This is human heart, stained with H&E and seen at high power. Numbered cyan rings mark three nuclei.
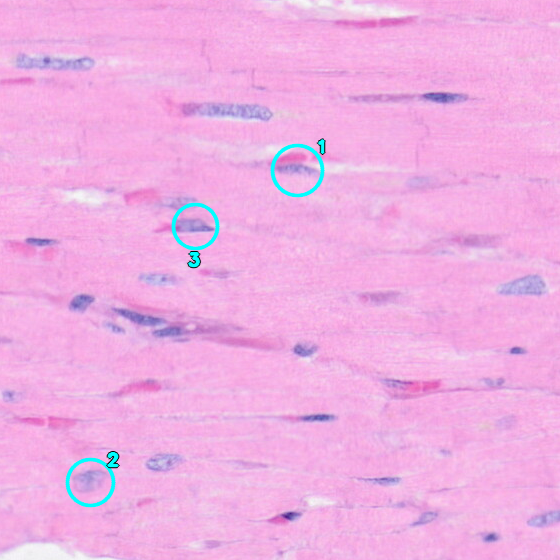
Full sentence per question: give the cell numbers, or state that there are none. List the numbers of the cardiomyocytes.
Only the cell numbered 2 is a cardiomyocyte, and the others are something else.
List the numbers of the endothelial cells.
Unlike the other numbered cells, cell 3 is an endothelial cell.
